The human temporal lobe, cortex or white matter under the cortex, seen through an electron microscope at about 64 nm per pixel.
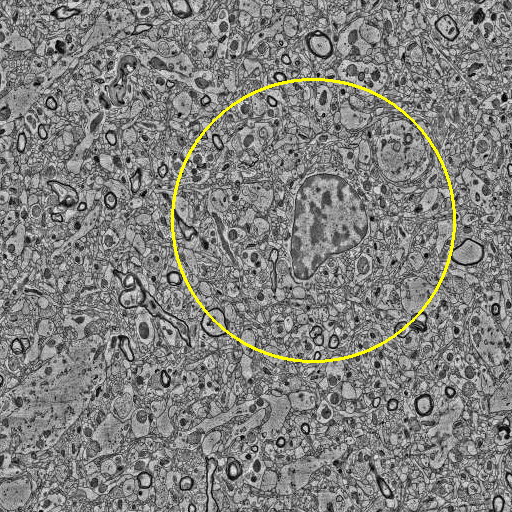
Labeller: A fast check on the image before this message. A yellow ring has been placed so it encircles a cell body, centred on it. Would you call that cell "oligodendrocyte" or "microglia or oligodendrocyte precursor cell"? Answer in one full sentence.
In this image, a microglial cell or oligodendrocyte precursor cell is the cell on which the yellow ring is centred.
